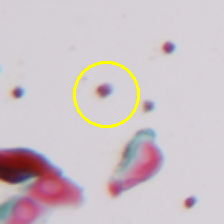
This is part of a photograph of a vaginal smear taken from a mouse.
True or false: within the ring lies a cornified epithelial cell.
False: a leukocyte lies within the ring.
